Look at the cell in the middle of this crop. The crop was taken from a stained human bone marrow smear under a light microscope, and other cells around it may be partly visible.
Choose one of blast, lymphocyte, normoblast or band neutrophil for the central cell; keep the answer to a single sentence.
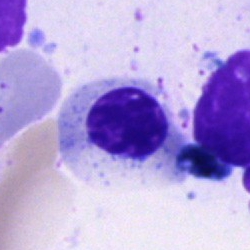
The cell at the middle of the crop is recognized as a normoblast.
